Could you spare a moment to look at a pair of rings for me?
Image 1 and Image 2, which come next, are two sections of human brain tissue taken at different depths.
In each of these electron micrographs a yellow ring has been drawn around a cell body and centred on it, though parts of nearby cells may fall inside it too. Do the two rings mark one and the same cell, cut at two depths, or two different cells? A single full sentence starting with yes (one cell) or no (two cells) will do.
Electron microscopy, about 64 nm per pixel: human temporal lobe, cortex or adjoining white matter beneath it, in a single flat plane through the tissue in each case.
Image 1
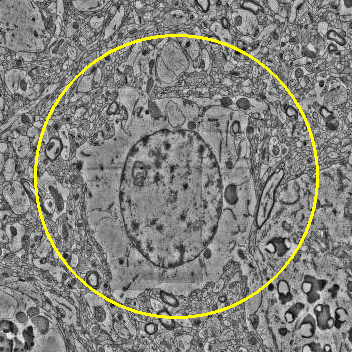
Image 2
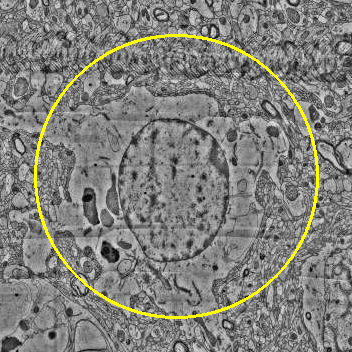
Yes, a single cell lies behind both yellow marks.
